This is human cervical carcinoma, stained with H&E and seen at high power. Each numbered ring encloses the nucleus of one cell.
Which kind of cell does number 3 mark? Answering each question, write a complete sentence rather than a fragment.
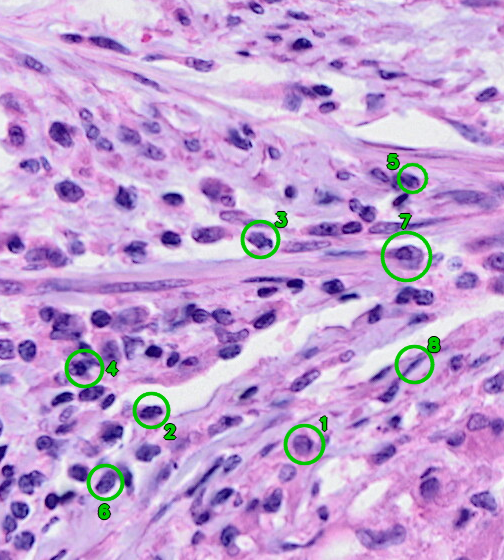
Among the marked nuclei, number 3 belongs to a lymphocyte.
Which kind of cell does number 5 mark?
The cell numbered 5 represents a lymphocyte.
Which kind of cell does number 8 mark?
The correct answer for cell 8 is a fibroblast.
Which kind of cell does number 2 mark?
The cell that goes by number 2 is a lymphocyte.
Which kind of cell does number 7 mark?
What the number 7 marks in this field is a macrophage or monocyte.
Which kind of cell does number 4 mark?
The mark numbered 4 indicates the nucleus of a lymphocyte.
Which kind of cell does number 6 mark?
The cell with the number 6 is a lymphocyte.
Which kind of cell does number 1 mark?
It is as a macrophage or monocyte that the cell numbered 1 is identified.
